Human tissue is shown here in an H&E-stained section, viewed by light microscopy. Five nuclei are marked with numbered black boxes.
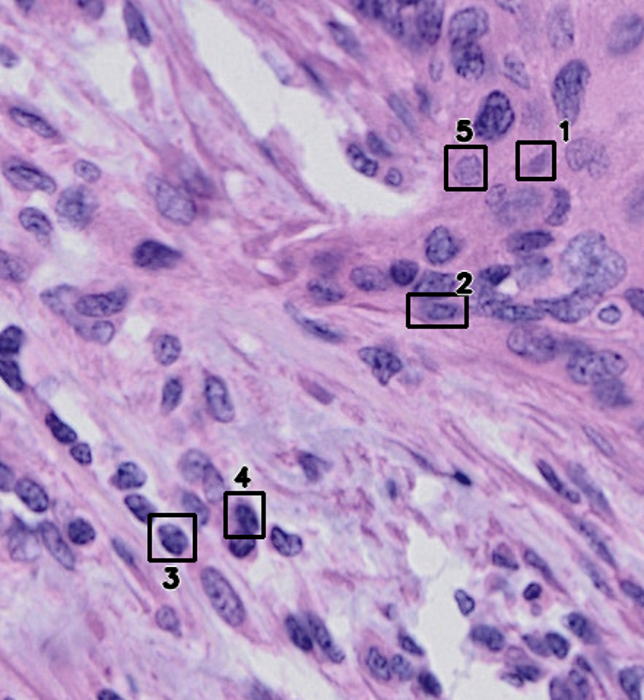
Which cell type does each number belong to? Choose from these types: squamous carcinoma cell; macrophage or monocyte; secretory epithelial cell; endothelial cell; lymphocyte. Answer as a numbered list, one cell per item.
1. squamous carcinoma cell
2. squamous carcinoma cell
3. lymphocyte
4. lymphocyte
5. squamous carcinoma cell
